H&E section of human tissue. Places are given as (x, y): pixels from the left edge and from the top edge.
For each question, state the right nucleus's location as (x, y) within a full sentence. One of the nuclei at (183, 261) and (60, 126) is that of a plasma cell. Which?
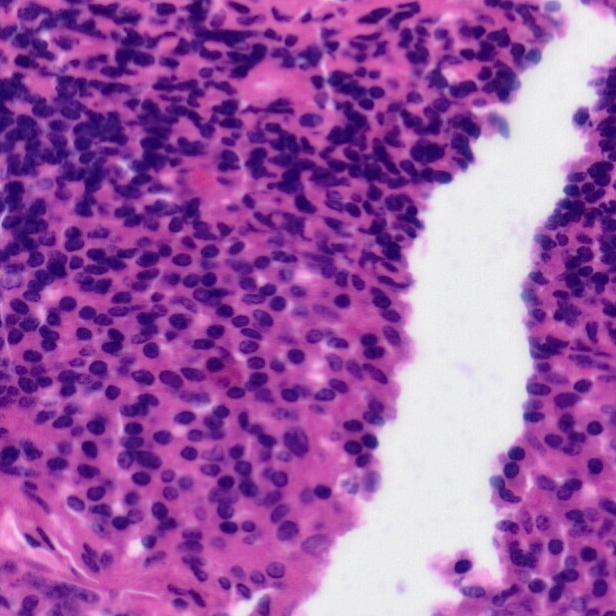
Of the two options, the nucleus at (183, 261) is the one that belongs to a plasma cell.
